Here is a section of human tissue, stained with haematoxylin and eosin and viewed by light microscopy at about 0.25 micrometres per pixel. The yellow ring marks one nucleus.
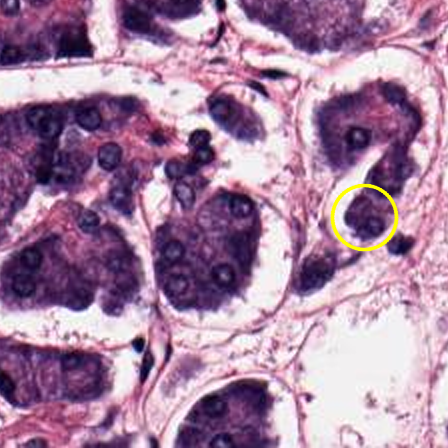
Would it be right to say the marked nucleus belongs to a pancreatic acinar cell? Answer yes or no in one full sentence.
Yes, in the picture the marked nucleus belongs to a pancreatic acinar cell.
